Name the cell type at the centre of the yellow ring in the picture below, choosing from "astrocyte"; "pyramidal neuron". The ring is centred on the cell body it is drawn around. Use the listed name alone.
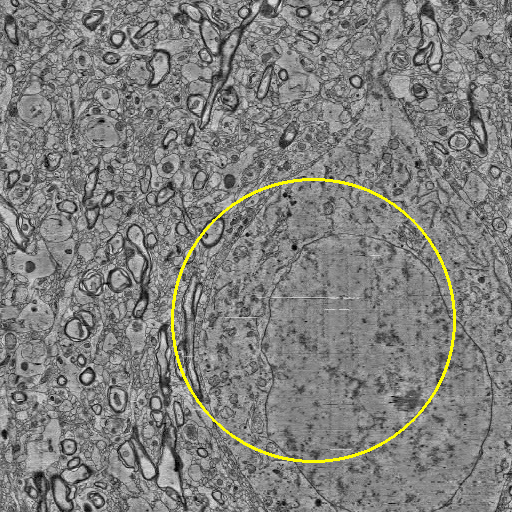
pyramidal neuron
